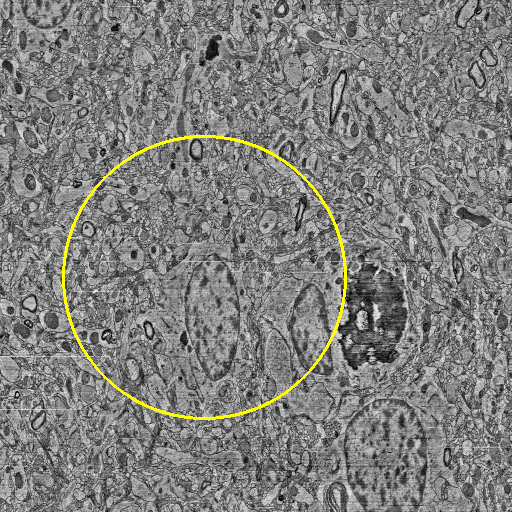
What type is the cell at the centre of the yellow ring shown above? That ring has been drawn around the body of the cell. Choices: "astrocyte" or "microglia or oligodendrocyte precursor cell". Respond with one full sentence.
My answer is that an astrocyte lies at the centre of the yellow ring above.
